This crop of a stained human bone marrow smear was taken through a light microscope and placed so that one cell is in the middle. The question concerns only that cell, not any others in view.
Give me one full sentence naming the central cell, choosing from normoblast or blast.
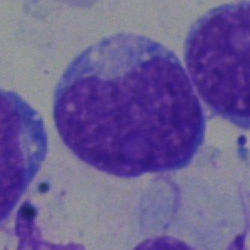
What sits at the centre of this crop is a blast.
